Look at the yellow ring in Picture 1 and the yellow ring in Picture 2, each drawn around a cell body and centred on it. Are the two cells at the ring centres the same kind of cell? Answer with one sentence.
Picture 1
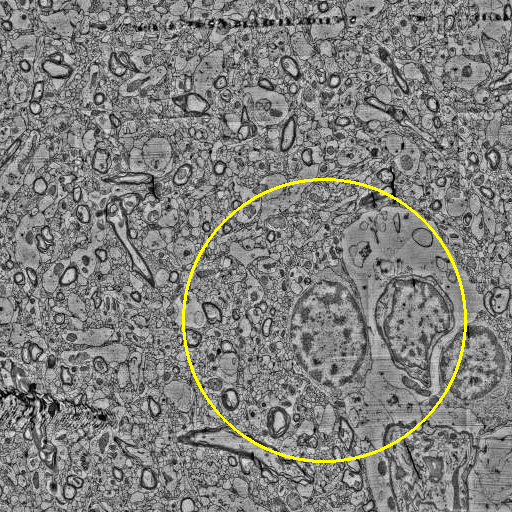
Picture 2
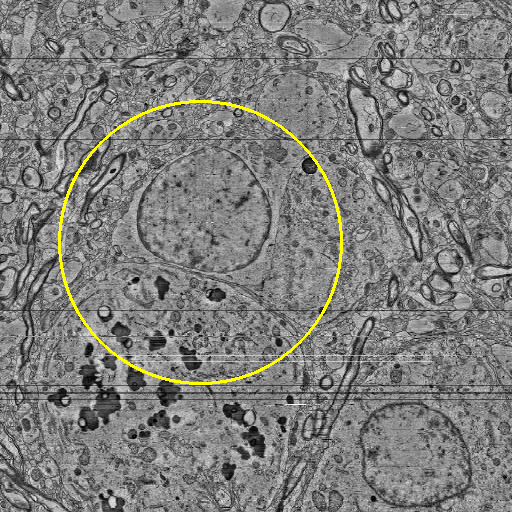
No, they are cells of two kinds.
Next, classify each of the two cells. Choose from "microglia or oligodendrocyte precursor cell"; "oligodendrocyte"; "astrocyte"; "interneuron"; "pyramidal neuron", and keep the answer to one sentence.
In the first picture it is an oligodendrocyte; in the second it is a microglial cell or oligodendrocyte precursor cell.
